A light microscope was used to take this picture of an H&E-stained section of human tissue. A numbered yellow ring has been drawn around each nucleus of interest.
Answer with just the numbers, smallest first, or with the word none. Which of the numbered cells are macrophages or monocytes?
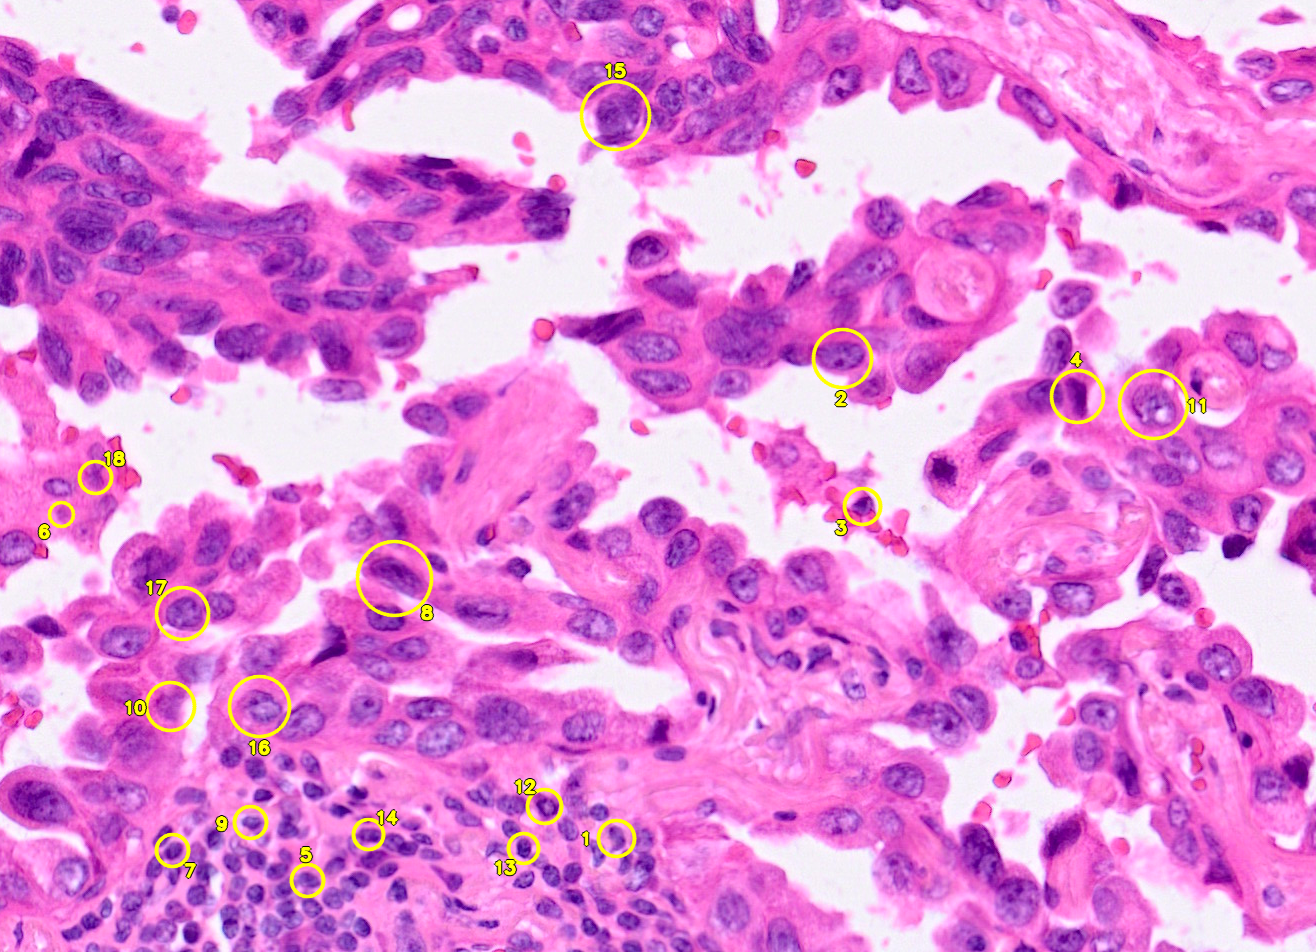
6, 18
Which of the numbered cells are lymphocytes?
1, 3, 5, 7, 9, 13, 14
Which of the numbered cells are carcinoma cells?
2, 4, 8, 10, 11, 15, 16, 17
